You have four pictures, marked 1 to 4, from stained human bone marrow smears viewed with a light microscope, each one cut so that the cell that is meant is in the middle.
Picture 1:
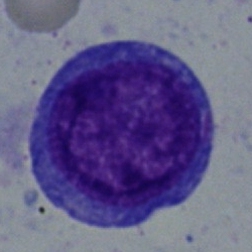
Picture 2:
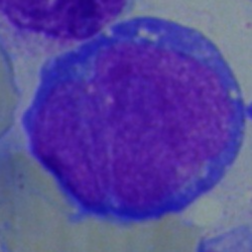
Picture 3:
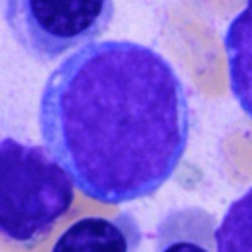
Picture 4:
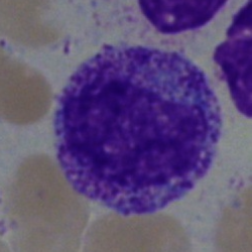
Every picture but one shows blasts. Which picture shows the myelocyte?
4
